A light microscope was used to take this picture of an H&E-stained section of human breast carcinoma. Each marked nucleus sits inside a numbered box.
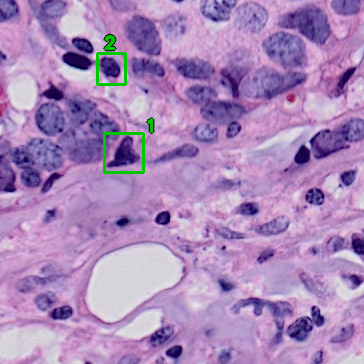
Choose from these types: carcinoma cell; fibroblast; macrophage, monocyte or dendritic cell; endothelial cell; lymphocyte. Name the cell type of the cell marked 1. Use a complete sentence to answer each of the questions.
Belonging to a carcinoma cell is the nucleus that carries the number 1.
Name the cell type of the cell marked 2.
In the marked set, the cell given number 2 is a lymphocyte.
